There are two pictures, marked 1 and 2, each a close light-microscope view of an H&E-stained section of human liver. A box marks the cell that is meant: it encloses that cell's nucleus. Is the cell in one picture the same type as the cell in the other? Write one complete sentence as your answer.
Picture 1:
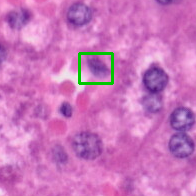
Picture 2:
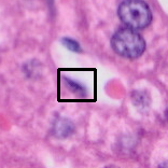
Yes; the cells in both pictures are endothelial cells.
